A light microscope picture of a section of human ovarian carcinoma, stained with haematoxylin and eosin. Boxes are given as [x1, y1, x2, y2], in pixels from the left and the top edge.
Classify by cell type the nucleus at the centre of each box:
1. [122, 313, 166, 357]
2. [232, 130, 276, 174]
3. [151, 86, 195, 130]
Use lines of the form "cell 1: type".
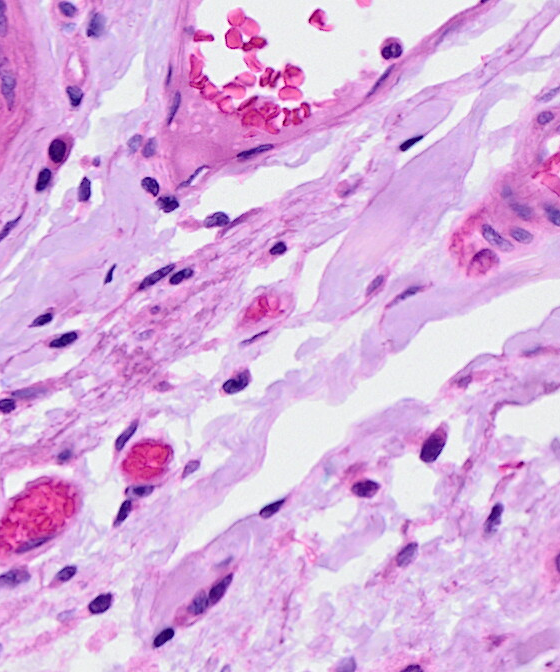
cell 1: fibroblast
cell 2: endothelial cell
cell 3: endothelial cell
